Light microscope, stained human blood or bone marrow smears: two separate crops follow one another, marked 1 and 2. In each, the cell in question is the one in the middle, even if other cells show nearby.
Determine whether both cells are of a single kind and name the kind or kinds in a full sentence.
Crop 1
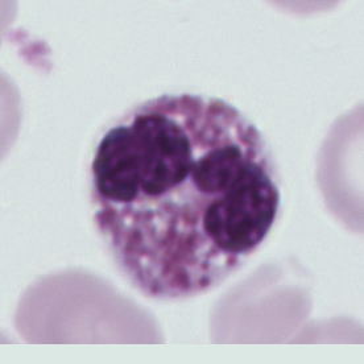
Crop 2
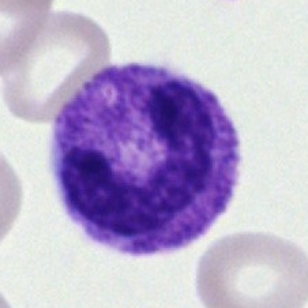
No, crop 1 captures an eosinophil, and crop 2 captures a band neutrophil.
